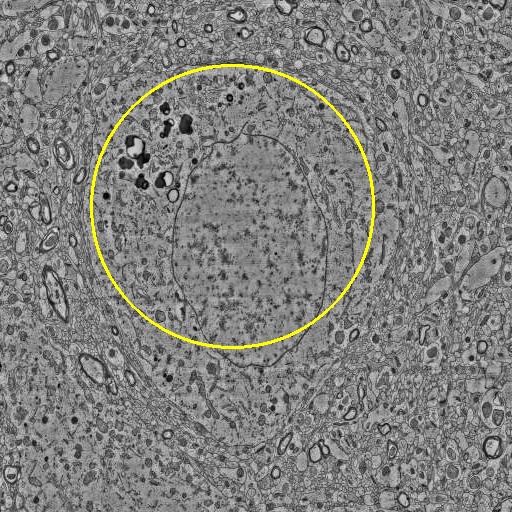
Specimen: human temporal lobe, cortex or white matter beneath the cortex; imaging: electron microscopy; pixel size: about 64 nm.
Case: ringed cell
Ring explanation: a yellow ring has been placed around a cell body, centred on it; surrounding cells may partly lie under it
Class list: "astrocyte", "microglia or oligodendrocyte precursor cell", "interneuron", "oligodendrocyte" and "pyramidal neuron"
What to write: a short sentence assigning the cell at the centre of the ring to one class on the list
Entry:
The cell at the ring's centre is a pyramidal neuron.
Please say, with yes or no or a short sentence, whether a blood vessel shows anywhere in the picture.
No, no vessel appears in the picture.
